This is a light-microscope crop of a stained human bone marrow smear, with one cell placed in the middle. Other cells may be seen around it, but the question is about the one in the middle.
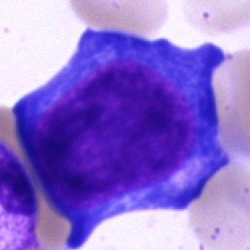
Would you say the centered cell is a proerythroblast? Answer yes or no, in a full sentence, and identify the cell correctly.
Yes, within this crop, the central cell is a proerythroblast.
